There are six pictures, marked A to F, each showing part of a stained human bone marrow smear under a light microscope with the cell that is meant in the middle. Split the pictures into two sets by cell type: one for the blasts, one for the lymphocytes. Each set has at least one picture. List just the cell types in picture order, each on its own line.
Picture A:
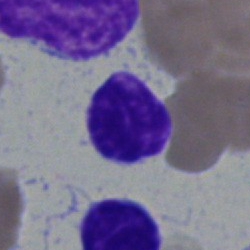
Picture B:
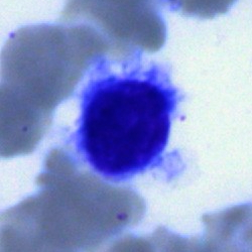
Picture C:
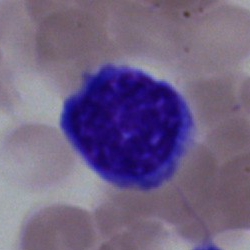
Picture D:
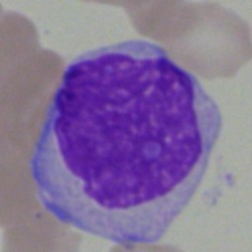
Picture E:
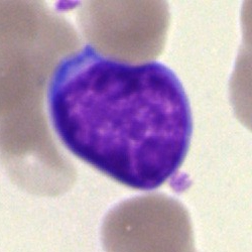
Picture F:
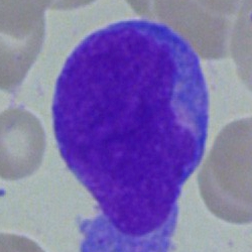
lymphocyte
lymphocyte
lymphocyte
blast
blast
blast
